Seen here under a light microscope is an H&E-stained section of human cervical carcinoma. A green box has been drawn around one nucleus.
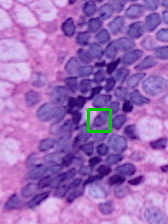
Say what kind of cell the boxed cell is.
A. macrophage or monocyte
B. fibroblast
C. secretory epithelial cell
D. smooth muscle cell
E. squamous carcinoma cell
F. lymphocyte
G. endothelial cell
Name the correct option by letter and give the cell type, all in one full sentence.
Option C holds, since the boxed cell is a secretory epithelial cell.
